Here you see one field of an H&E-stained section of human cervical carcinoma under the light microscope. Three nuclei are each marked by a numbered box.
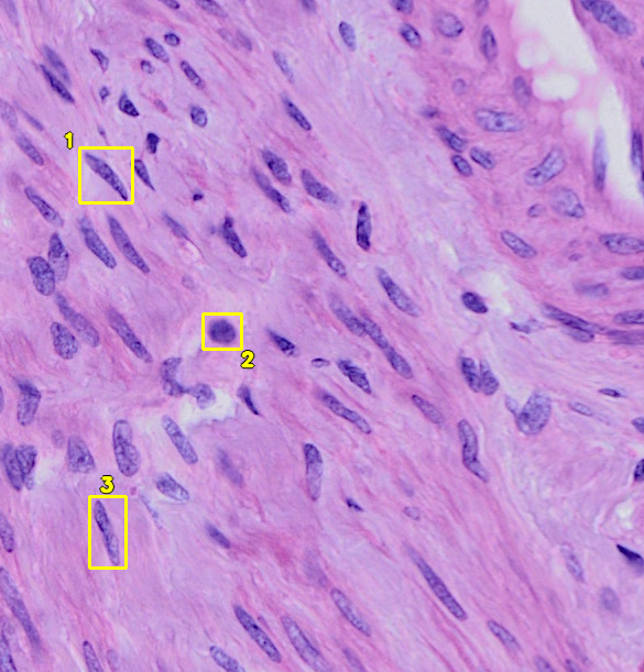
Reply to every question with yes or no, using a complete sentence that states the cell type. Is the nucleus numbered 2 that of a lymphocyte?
Yes, that is correct: the cell numbered 2 is a lymphocyte.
